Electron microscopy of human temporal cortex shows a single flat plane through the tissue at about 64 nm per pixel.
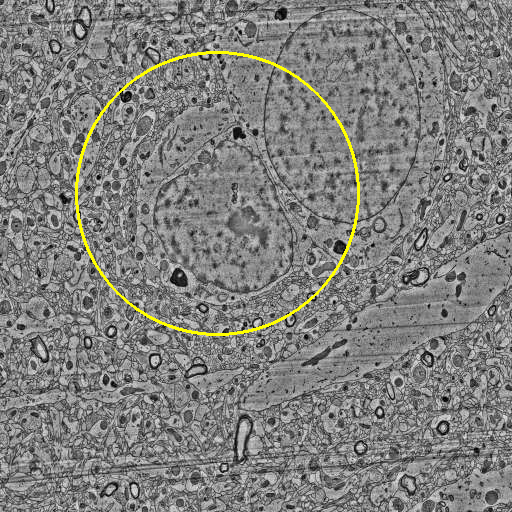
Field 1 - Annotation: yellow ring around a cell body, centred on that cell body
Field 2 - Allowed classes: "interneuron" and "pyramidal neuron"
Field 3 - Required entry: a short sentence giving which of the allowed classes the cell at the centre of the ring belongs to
The centred cell is an interneuron.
